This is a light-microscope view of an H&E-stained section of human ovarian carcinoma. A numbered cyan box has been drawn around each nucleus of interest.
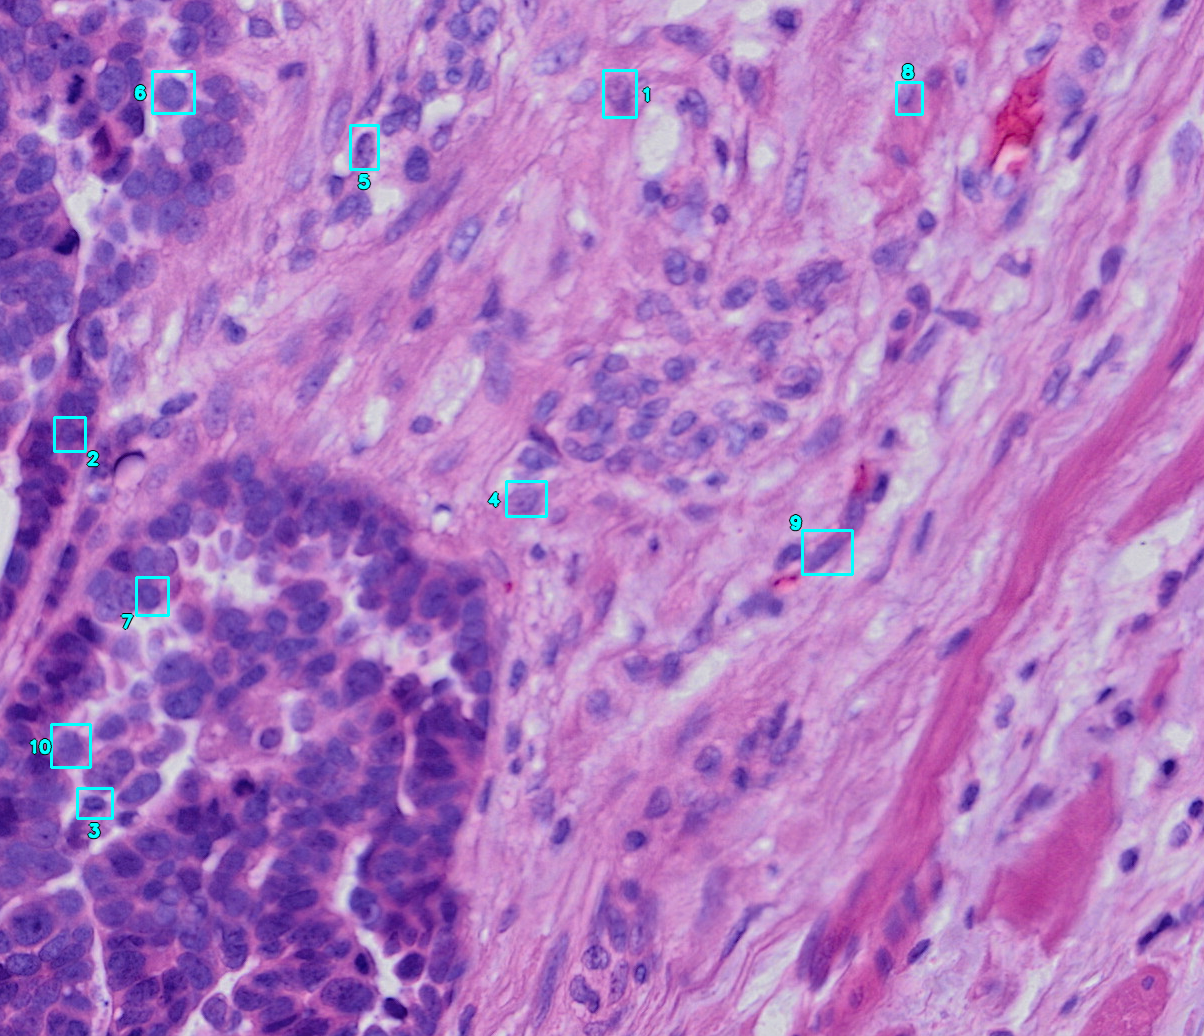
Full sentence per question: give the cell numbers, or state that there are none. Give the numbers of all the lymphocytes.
None among the numbered cells are lymphocytes.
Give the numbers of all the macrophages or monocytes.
The cells carrying the numbers 3 and 5 are macrophages or monocytes.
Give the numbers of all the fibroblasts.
The cells shown with numbers 1 and 4 are fibroblasts.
